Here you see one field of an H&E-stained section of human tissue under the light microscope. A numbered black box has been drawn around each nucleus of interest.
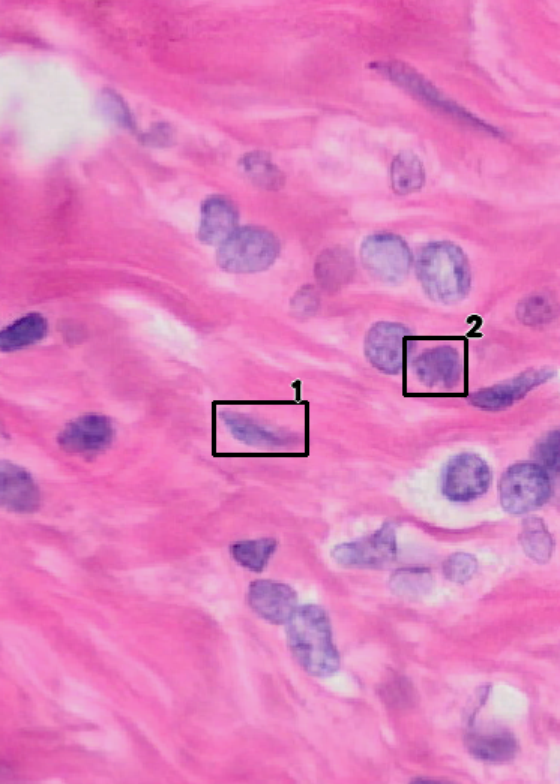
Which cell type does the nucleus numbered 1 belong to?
fibroblast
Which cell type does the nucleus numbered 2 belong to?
carcinoma cell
